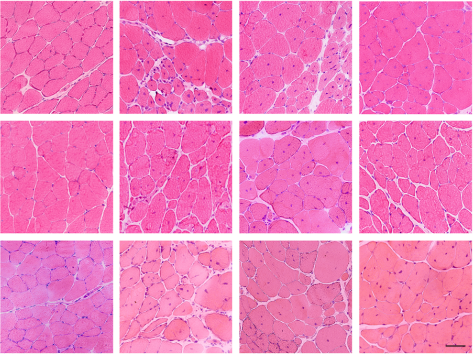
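This grid shows skeletal muscle cut in cross-section, with the myofibres as pink polygonal profiles separated by fine pale spaces. Nuclei stain dark purple. In the leftmost column the fibres are fairly even in size and their nuclei lie at the periphery. Across the other columns many fibres hold one or more nuclei near their centre, fibres are more unequal in size and shape, and in some fields the spaces between fibres are wider and contain scattered extra nuclei.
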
